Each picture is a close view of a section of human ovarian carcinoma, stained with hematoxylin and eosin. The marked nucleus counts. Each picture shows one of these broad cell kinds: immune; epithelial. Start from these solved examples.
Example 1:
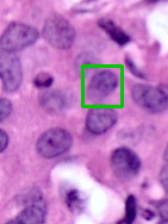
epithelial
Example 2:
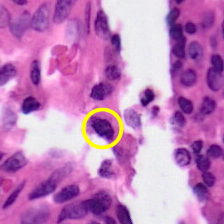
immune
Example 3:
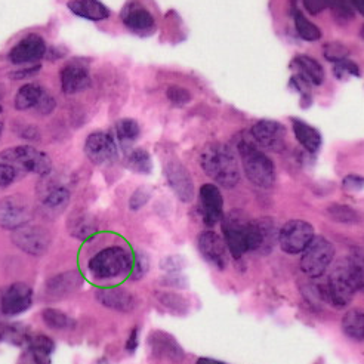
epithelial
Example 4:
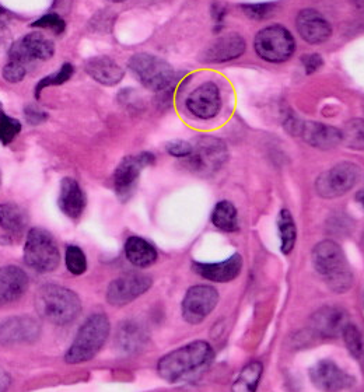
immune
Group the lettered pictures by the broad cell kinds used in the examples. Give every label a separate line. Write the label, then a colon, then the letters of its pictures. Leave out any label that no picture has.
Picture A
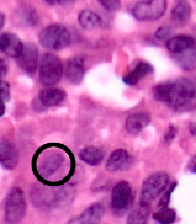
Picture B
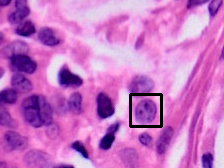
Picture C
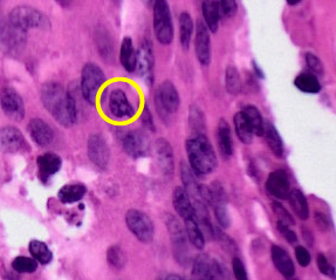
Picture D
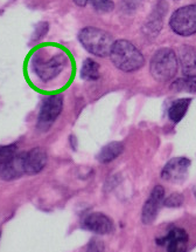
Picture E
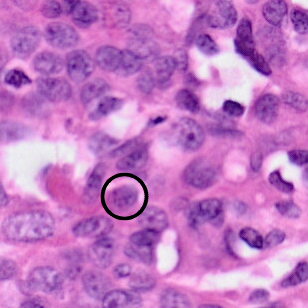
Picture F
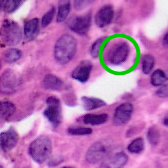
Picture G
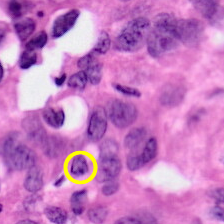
immune: B, C, D, G
epithelial: A, E, F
